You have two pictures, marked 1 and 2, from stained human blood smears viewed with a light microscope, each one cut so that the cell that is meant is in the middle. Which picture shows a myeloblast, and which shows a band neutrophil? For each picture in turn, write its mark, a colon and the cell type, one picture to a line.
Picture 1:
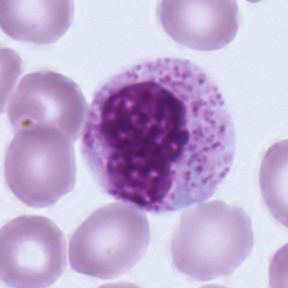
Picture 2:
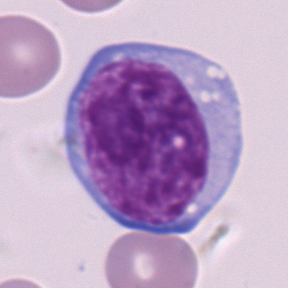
1: band neutrophil
2: myeloblast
